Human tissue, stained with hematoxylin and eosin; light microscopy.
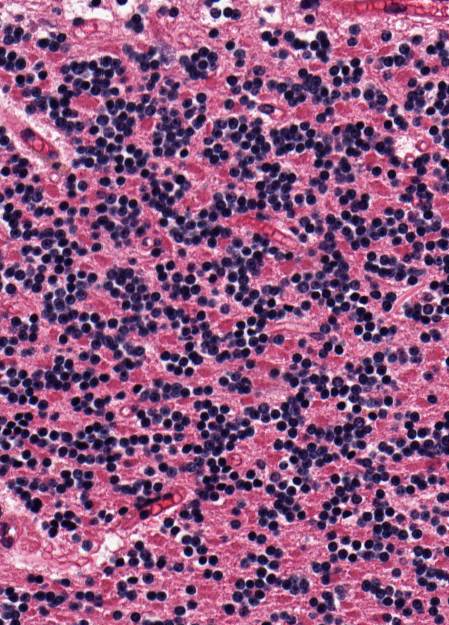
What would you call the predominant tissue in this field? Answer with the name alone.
granular layer of the cerebellum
